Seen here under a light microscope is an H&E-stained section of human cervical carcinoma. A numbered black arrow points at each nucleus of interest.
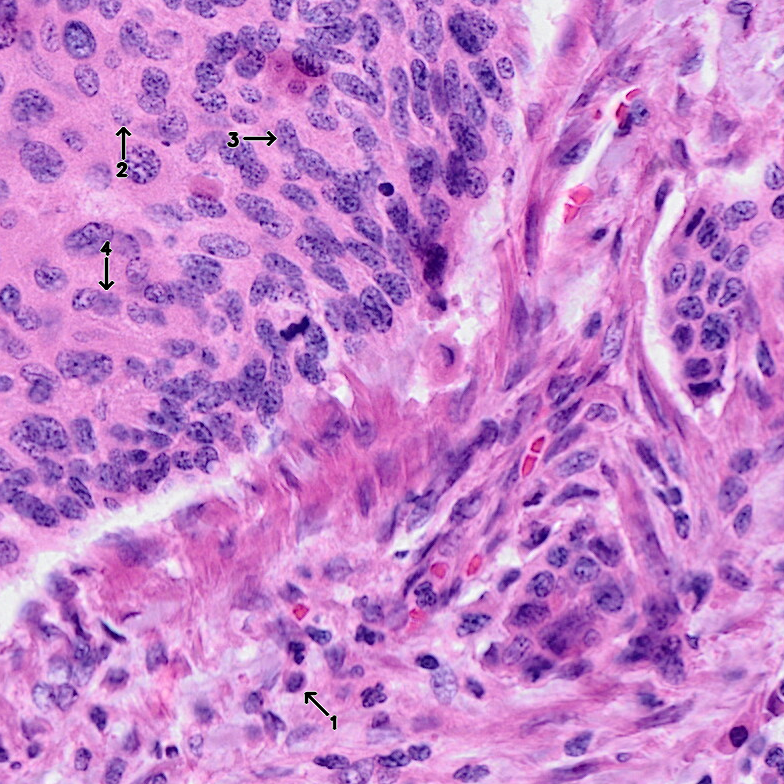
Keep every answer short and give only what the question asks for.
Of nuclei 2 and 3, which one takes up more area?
3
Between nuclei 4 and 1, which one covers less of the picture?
1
